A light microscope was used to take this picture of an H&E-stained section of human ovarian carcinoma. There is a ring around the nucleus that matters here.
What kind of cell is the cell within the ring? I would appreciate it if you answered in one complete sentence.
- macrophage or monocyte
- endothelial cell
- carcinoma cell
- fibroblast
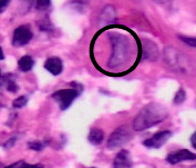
In the tissue at hand, the cell within the ring is an endothelial cell.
